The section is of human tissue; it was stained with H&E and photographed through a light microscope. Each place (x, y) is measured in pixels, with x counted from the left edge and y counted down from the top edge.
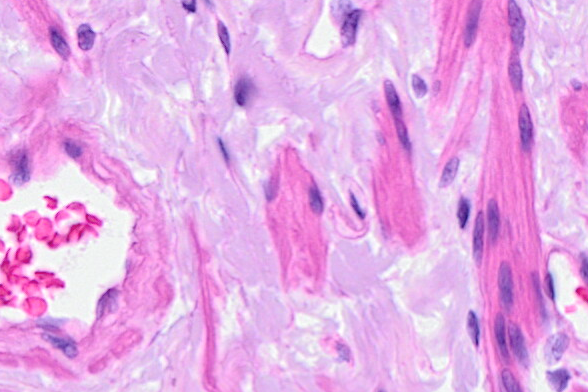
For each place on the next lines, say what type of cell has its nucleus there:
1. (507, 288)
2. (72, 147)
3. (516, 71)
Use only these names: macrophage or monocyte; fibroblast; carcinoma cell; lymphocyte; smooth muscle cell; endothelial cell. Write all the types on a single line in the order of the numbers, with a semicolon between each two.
smooth muscle cell; endothelial cell; smooth muscle cell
